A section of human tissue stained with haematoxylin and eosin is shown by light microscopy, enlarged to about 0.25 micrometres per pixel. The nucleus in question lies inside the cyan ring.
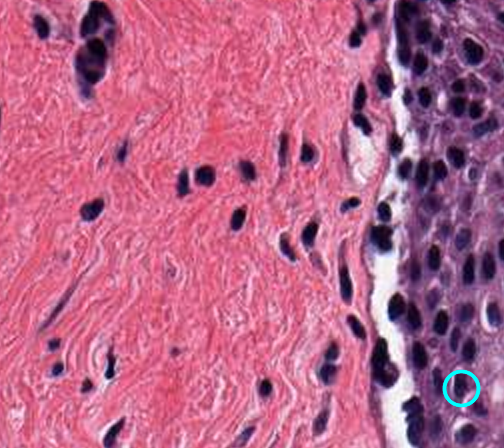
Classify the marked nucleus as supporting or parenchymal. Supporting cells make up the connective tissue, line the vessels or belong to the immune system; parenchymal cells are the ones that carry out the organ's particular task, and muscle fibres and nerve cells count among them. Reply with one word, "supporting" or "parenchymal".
parenchymal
